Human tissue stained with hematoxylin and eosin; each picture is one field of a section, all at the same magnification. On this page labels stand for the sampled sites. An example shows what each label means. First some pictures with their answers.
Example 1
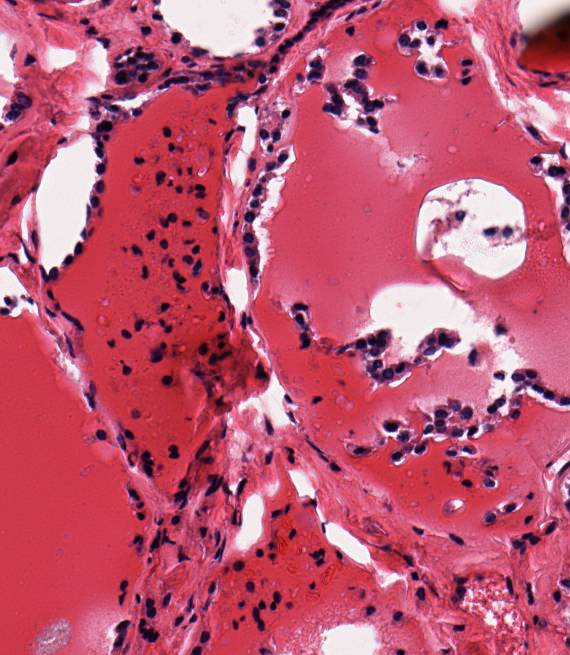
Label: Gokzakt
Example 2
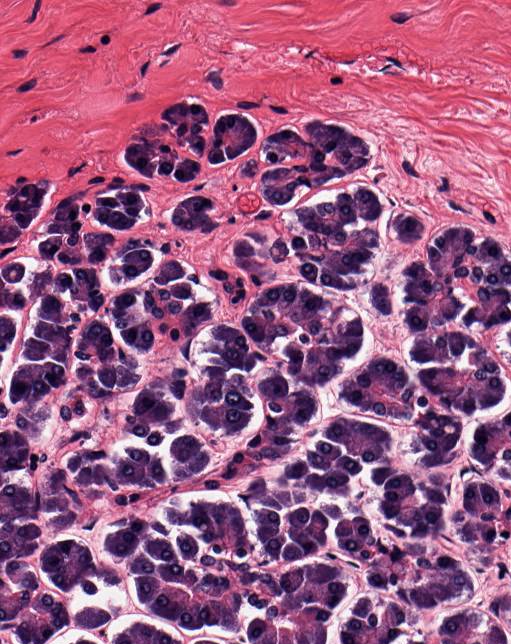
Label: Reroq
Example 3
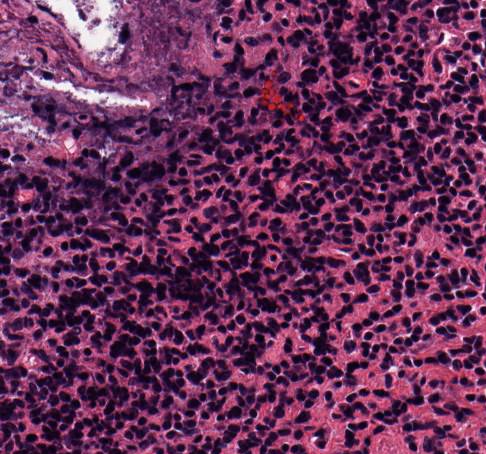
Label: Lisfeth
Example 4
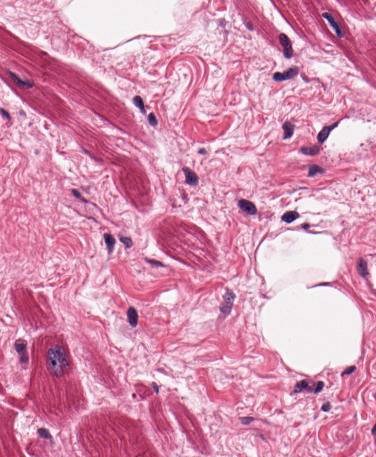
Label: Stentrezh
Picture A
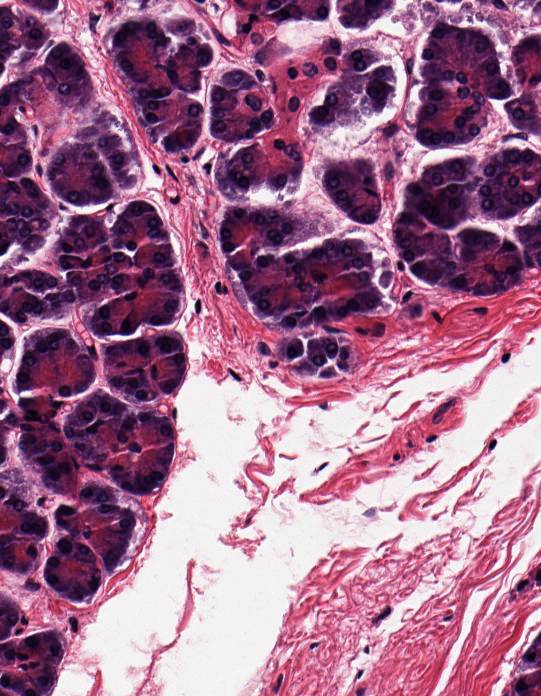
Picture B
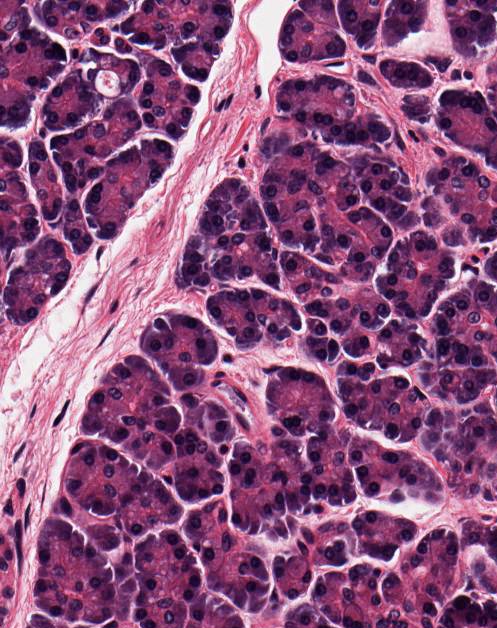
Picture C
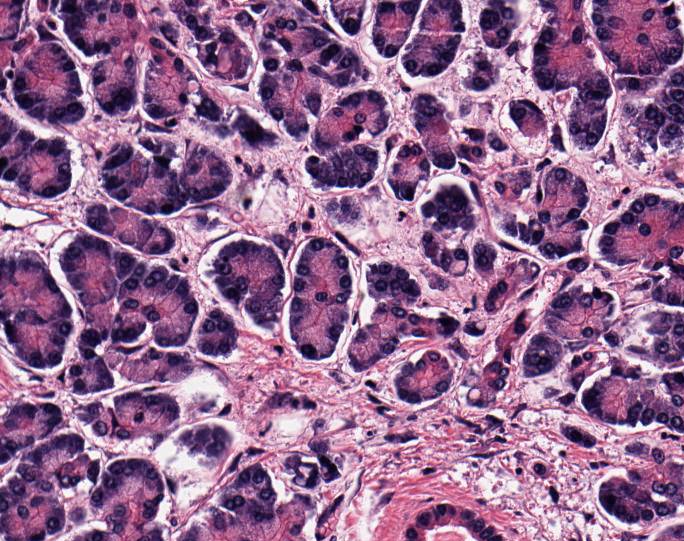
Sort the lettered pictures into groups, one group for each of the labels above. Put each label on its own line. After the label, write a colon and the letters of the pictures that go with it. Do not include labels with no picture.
Reroq: A, B, C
